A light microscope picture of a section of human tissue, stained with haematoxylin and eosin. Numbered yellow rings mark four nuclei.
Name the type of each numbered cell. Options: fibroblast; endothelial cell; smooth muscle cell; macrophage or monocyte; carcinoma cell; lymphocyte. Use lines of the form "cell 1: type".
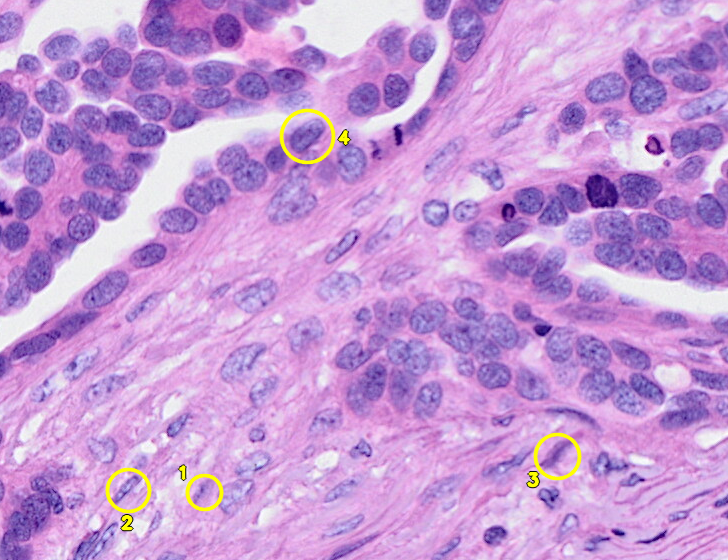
cell 1: fibroblast
cell 2: fibroblast
cell 3: fibroblast
cell 4: carcinoma cell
